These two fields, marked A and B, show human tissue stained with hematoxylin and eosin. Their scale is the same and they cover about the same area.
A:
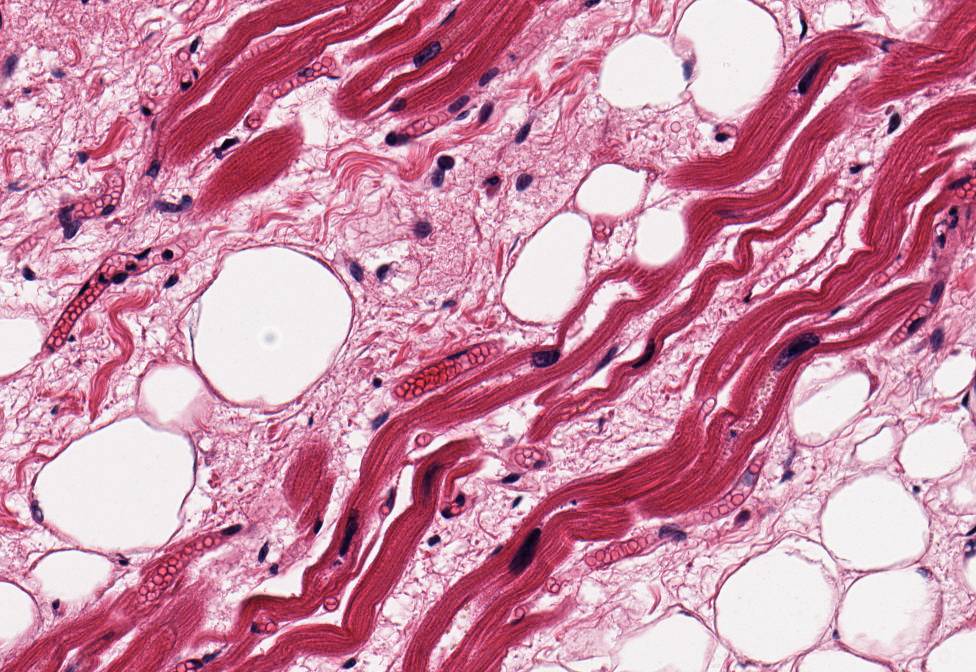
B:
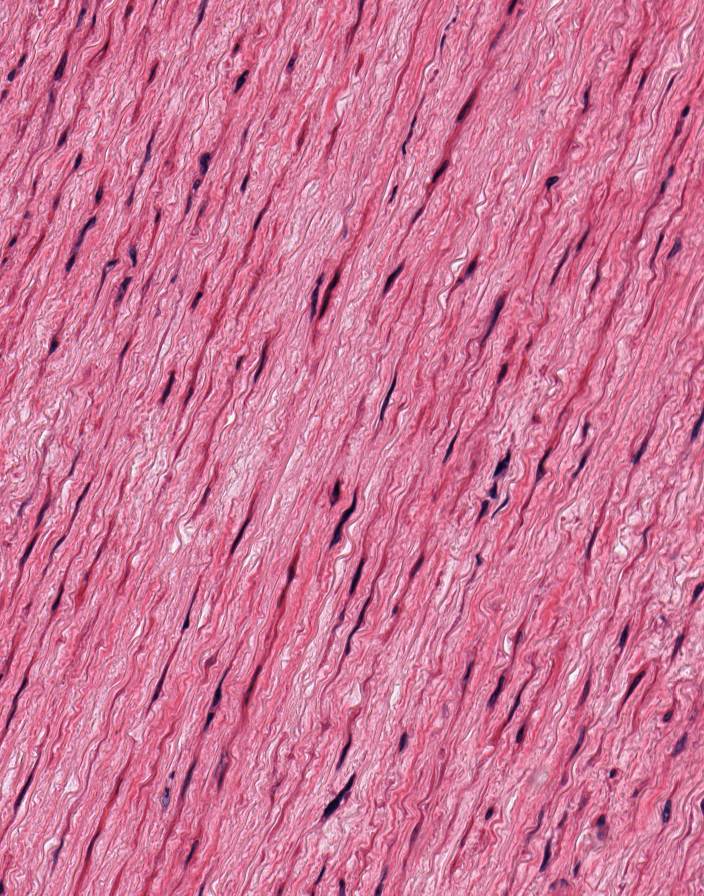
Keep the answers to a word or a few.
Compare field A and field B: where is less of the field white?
B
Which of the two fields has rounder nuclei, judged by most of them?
A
